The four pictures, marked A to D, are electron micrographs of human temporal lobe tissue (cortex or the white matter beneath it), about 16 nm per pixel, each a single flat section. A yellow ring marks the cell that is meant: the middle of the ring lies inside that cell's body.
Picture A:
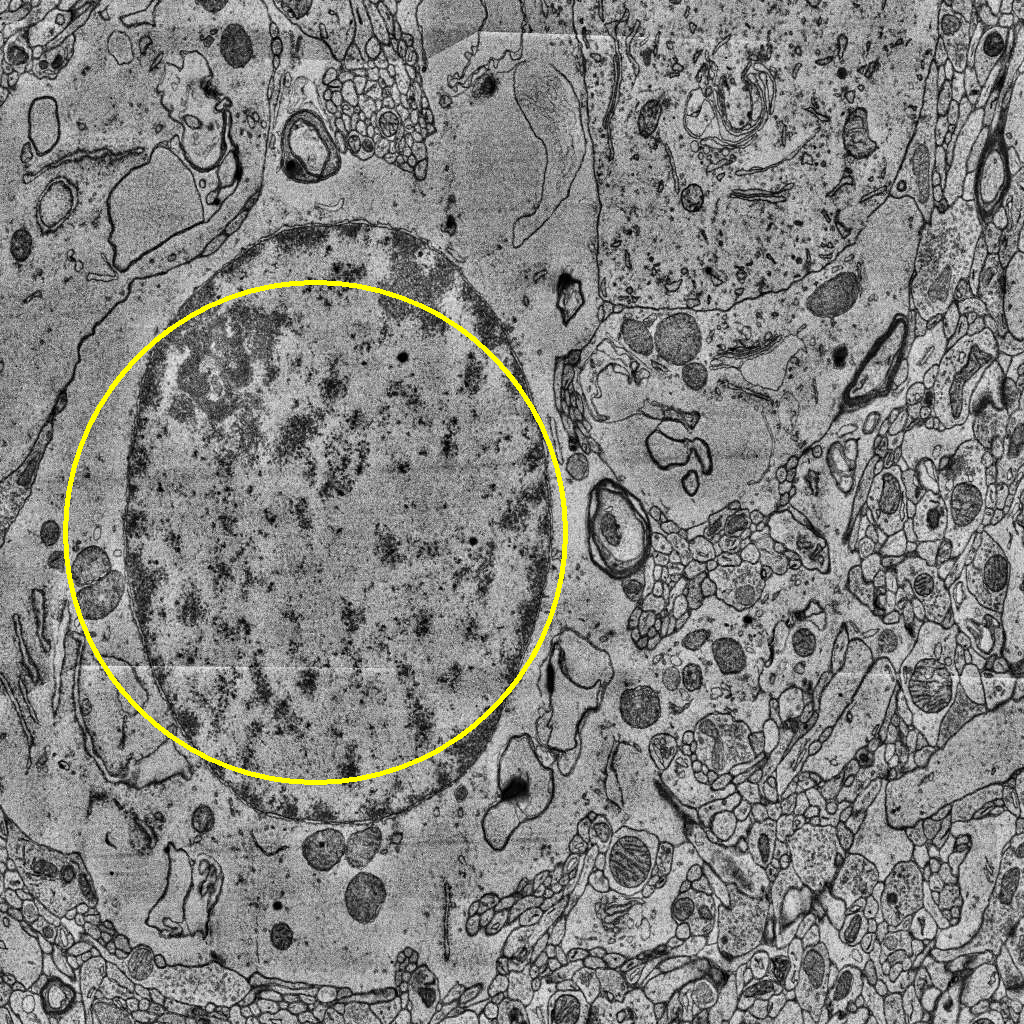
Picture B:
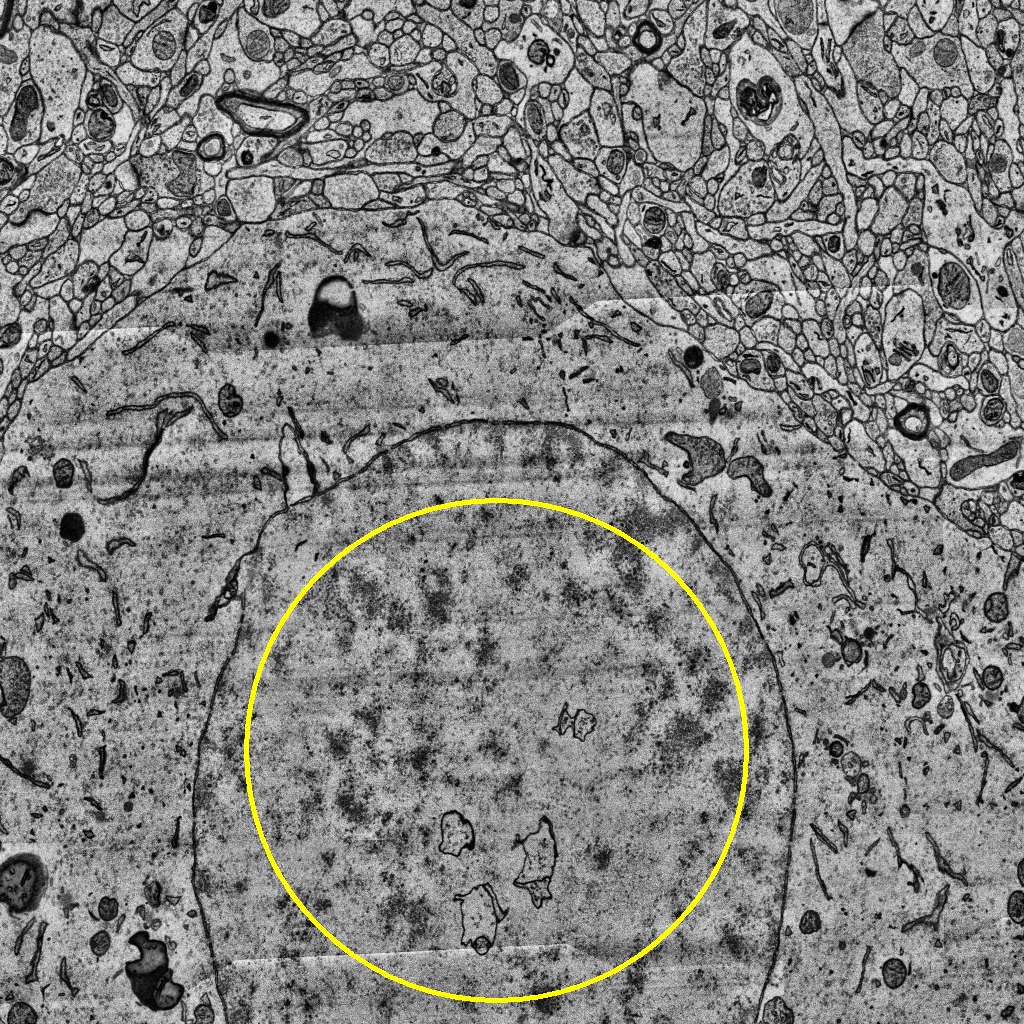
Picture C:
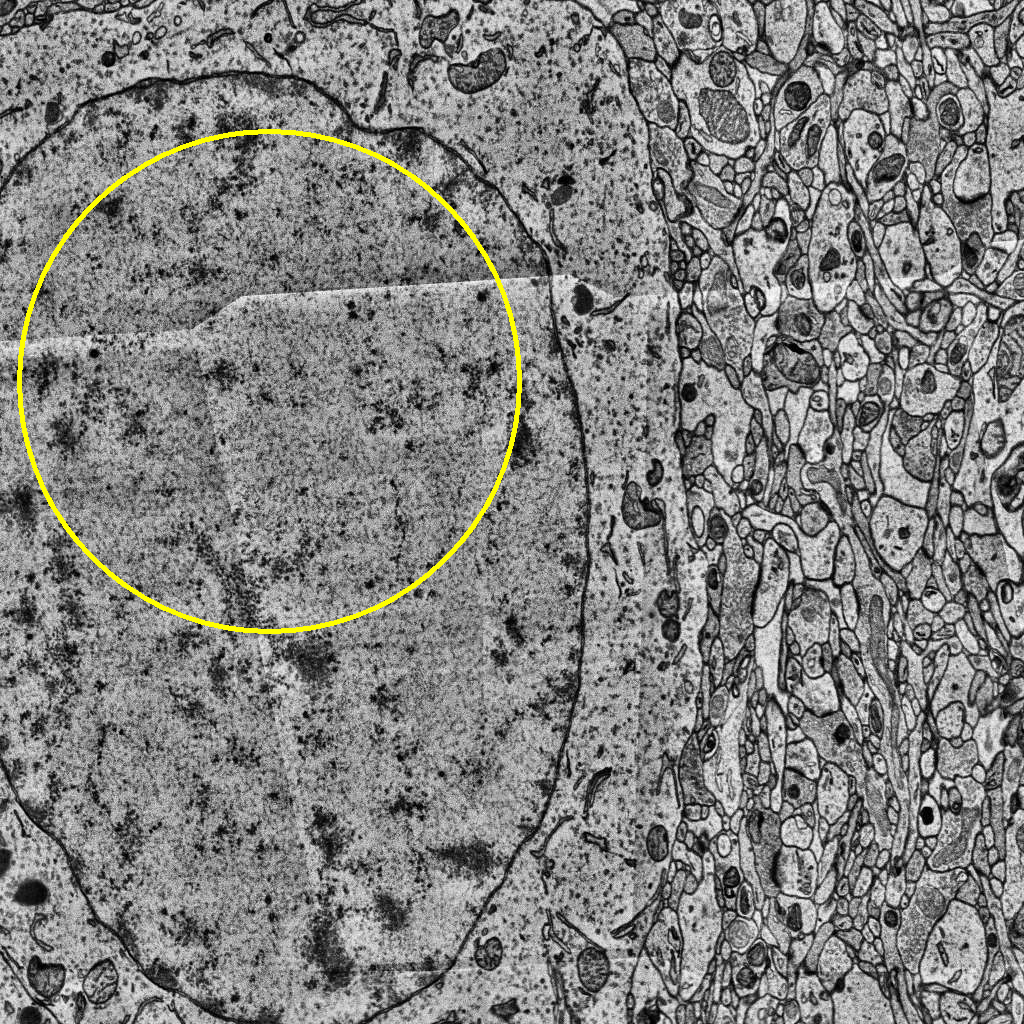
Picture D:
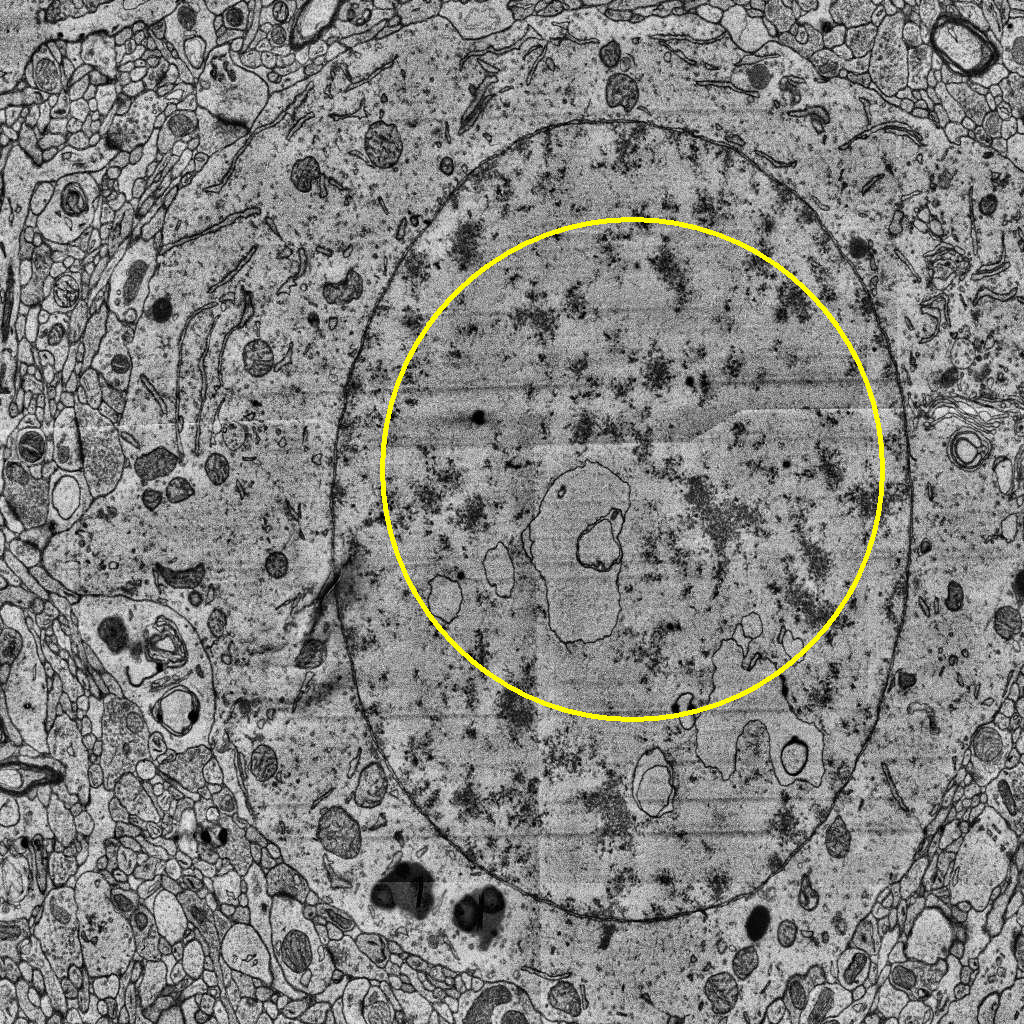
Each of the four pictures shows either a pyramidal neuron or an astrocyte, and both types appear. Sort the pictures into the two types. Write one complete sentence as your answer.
Pictures B, C and D show pyramidal neurons; picture A shows an astrocyte.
